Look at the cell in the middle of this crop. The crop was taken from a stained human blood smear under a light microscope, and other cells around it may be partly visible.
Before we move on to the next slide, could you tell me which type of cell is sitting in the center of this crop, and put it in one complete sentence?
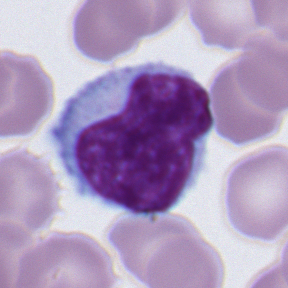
In the center of this field lies a lymphocyte.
